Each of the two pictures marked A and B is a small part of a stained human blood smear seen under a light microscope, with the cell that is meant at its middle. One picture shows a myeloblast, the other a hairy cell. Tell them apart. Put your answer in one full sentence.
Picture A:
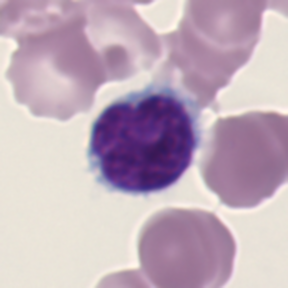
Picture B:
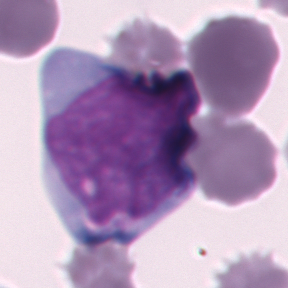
Picture A shows a hairy cell and picture B shows a myeloblast.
